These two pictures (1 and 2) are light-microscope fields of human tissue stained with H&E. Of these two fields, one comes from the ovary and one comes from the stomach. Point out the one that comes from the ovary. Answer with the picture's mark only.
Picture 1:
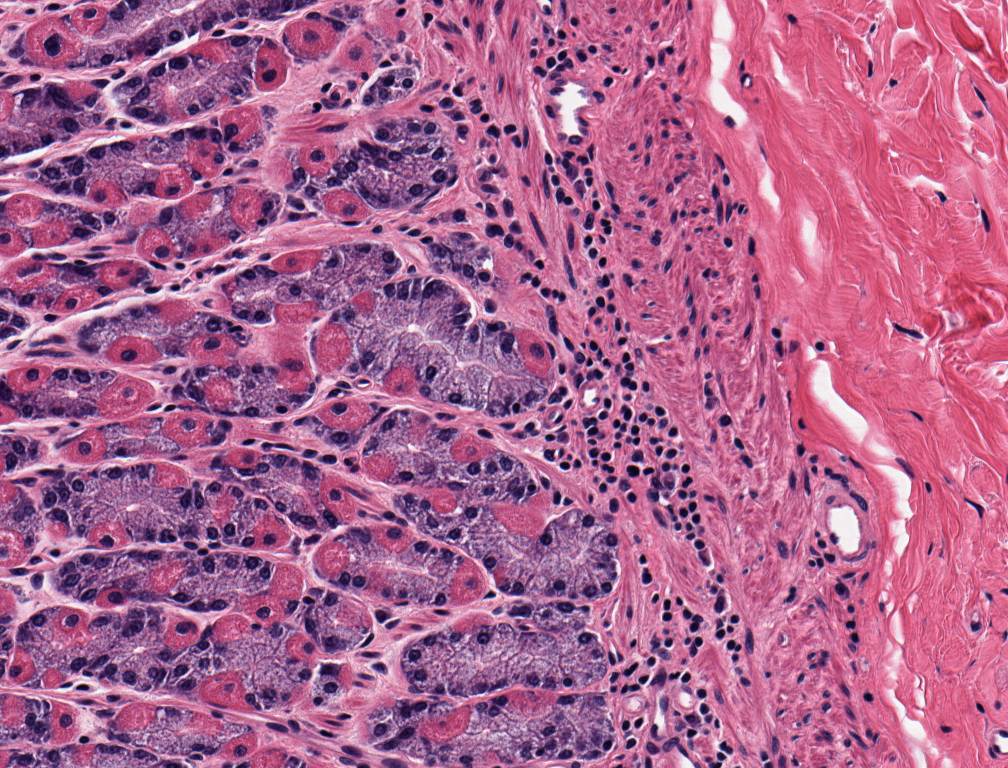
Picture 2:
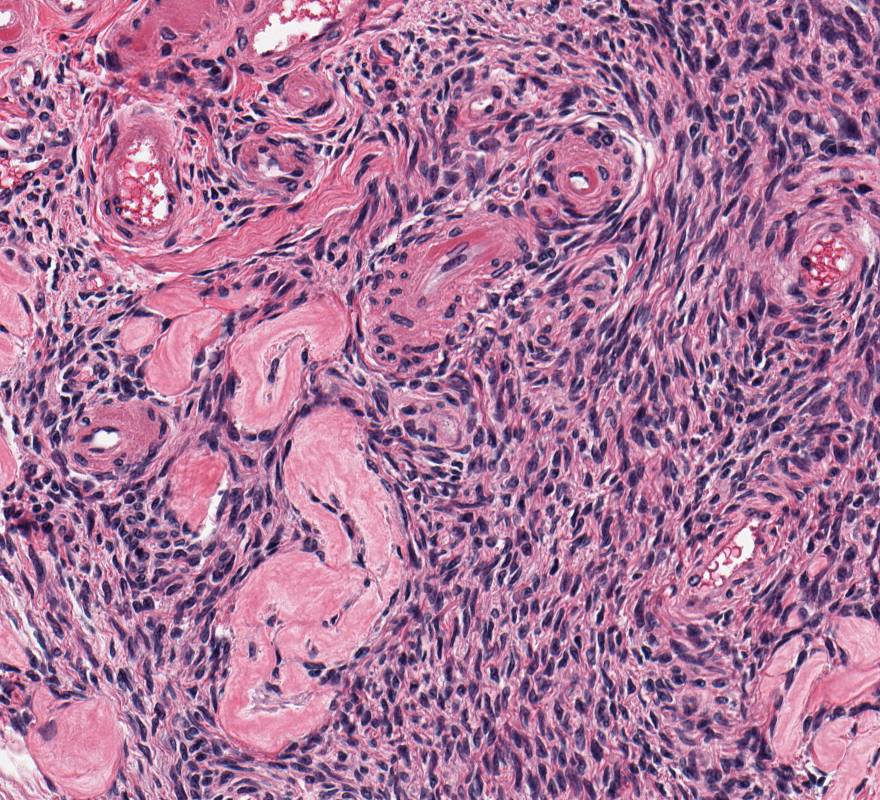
2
